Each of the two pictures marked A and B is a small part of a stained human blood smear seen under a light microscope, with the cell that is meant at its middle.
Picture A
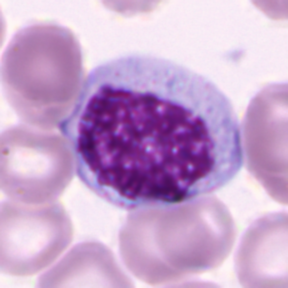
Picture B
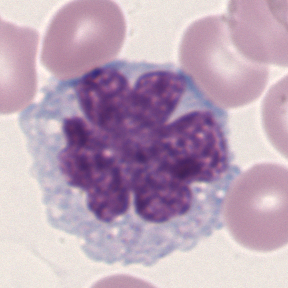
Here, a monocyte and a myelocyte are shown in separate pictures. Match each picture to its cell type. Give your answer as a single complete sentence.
Picture A is of a myelocyte, and picture B is of a monocyte.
